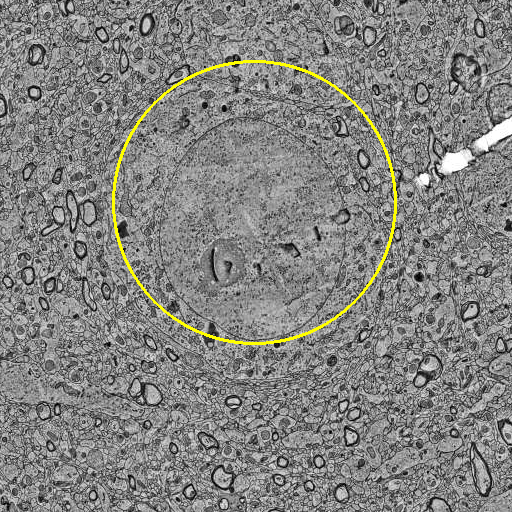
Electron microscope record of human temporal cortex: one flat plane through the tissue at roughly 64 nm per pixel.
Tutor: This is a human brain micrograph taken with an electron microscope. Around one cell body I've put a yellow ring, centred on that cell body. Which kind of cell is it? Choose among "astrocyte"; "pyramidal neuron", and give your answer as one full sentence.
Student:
Going by your list, the cell centred in the yellow ring is a pyramidal neuron.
